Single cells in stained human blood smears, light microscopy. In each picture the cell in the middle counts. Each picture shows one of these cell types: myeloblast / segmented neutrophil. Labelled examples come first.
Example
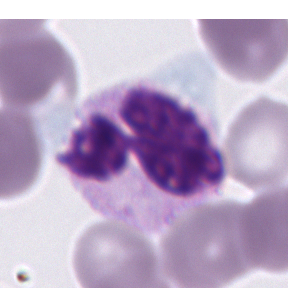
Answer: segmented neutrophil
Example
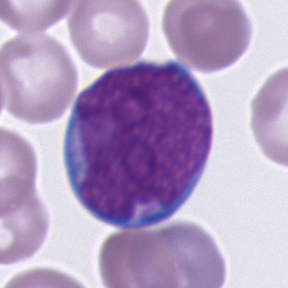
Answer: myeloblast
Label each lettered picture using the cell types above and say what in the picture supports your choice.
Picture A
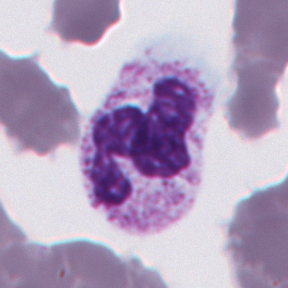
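segmented neutrophil: The cytoplasm is very pale, almost colourless, with a faint pink tinge.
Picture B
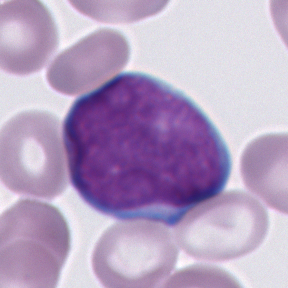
myeloblast: The cytoplasm forms only a thin rim around the nucleus.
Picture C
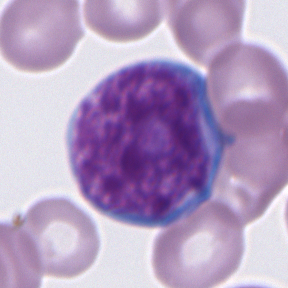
myeloblast: The cytoplasm is a clear blue.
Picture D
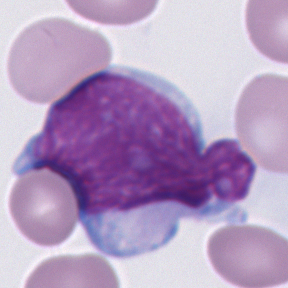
myeloblast: The nucleus fills most of the cell.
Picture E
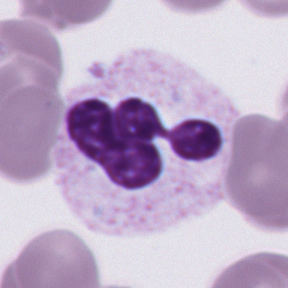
segmented neutrophil: The cytoplasm is abundant and pale pink.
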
